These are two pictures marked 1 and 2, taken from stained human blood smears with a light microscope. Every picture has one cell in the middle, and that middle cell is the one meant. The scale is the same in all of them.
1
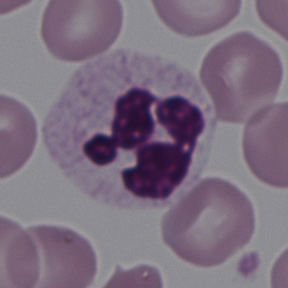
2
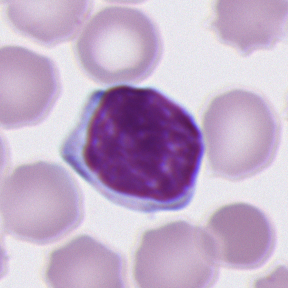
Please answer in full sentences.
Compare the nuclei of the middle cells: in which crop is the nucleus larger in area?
It is the nucleus in crop 2, about 1.5 times as large in area as the one in crop 1.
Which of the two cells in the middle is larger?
Larger is the cell in crop 1, at roughly 1.5 times the area of the other.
